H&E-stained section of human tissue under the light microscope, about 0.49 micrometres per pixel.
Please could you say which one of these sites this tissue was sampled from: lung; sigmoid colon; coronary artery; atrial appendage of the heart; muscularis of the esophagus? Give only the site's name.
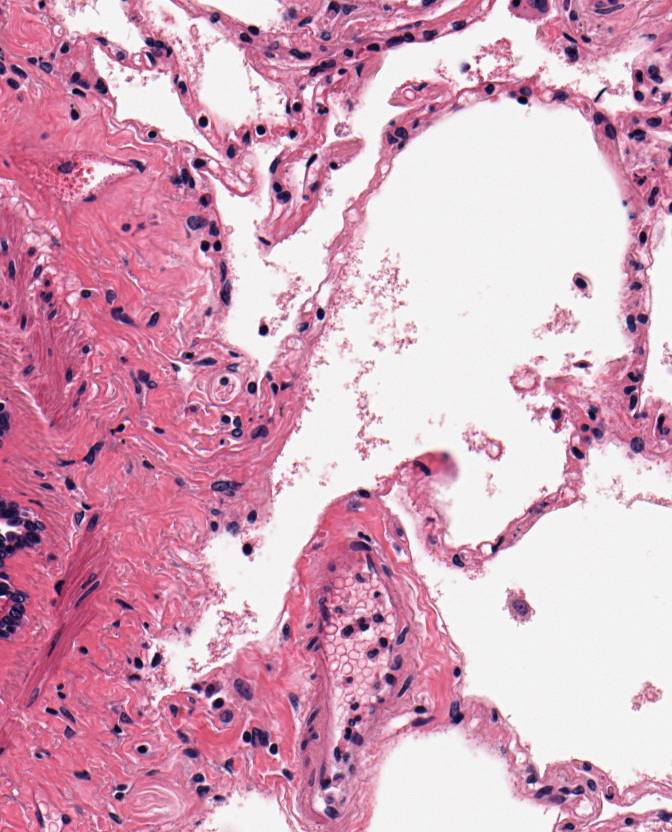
lung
